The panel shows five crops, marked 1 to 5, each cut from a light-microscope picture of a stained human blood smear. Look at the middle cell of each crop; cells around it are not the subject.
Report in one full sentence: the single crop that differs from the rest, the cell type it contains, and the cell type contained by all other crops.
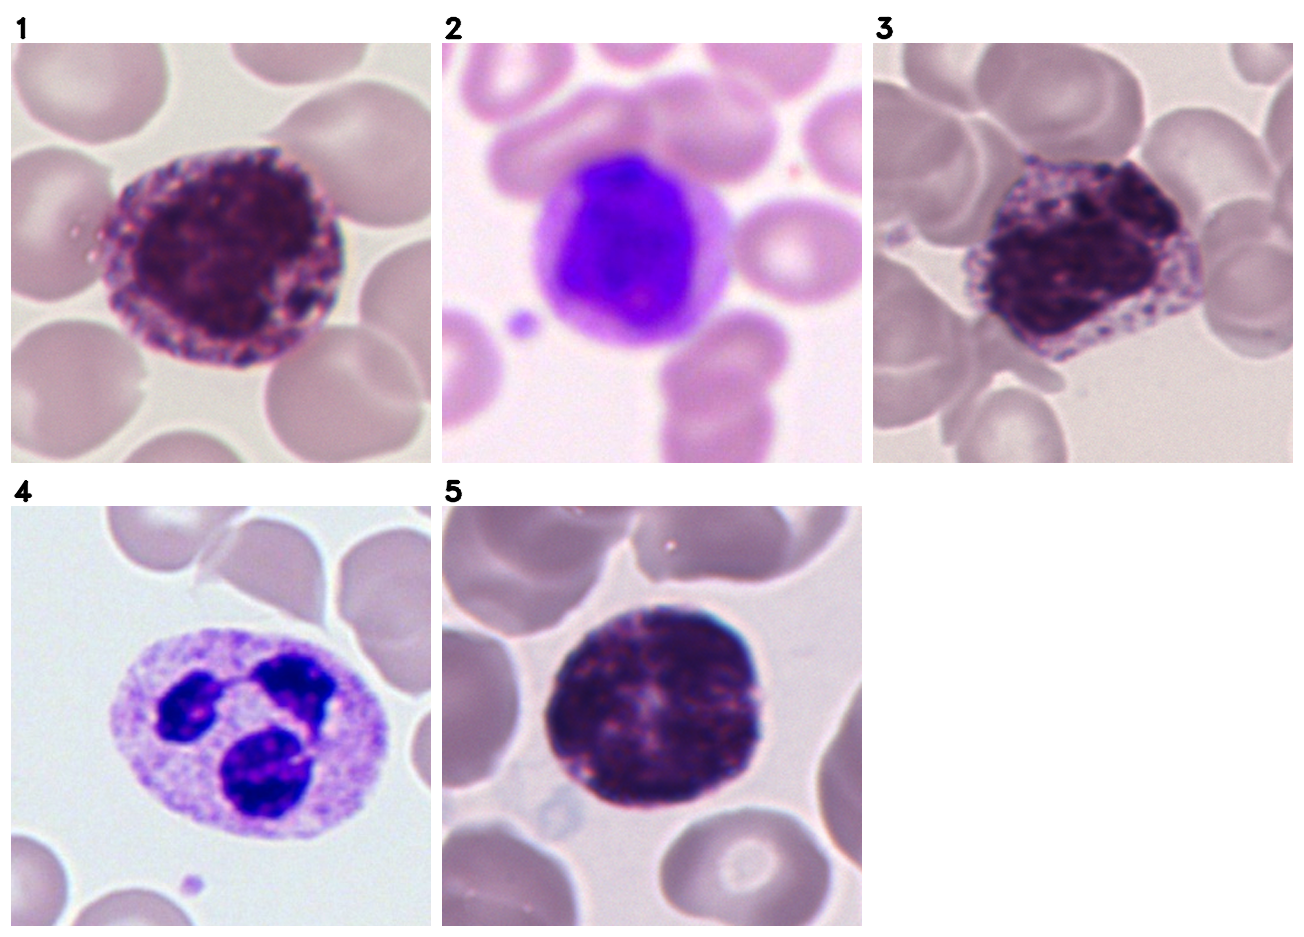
The crop that differs is 4, which is a neutrophil; the rest are basophils.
